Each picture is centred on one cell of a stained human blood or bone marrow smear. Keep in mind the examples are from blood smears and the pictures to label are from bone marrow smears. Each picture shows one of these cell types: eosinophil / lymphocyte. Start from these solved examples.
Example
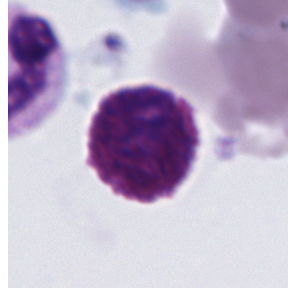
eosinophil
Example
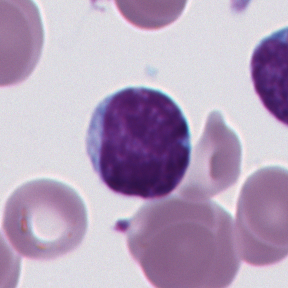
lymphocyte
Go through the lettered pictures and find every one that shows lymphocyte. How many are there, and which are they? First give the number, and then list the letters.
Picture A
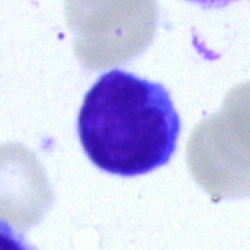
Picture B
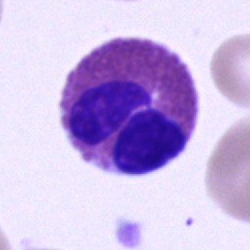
1: A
